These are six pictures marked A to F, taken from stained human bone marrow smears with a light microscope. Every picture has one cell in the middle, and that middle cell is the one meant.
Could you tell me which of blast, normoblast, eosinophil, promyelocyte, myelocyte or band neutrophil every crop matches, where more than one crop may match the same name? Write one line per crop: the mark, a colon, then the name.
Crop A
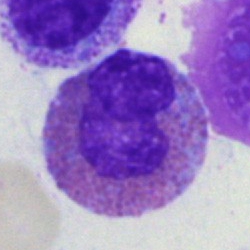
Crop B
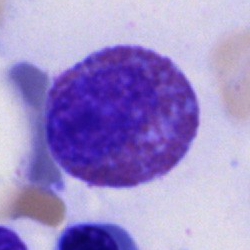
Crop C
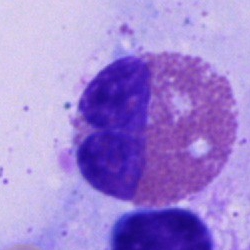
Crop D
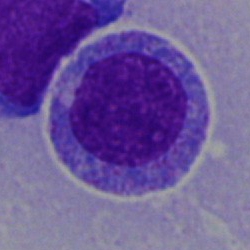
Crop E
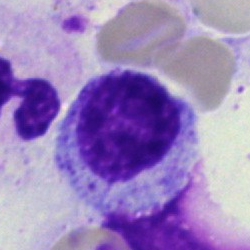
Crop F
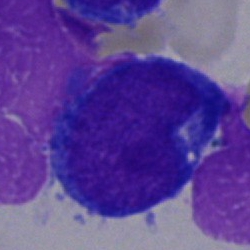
A: eosinophil
B: eosinophil
C: eosinophil
D: myelocyte
E: myelocyte
F: blast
